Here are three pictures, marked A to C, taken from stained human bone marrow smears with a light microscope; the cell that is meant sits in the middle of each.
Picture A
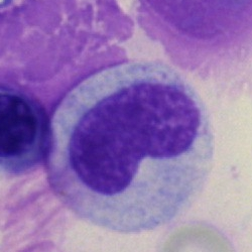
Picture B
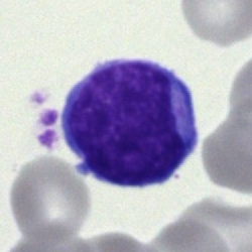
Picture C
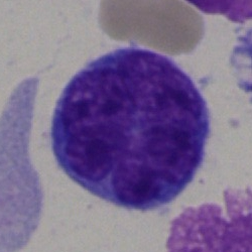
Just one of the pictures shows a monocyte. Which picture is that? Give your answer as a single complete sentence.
The picture with the monocyte is A.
